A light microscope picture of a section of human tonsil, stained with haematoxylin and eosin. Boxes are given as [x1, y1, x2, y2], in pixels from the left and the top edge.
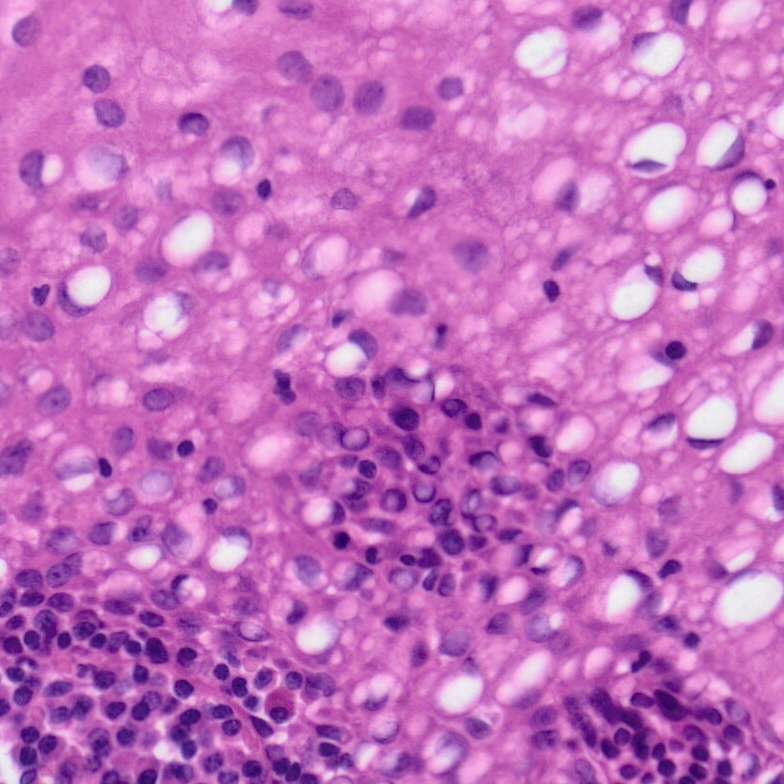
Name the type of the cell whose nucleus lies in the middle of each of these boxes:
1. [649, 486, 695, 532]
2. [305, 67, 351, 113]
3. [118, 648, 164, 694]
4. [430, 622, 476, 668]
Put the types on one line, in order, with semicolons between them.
squamous epithelial cell; squamous epithelial cell; plasma cell; squamous epithelial cell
